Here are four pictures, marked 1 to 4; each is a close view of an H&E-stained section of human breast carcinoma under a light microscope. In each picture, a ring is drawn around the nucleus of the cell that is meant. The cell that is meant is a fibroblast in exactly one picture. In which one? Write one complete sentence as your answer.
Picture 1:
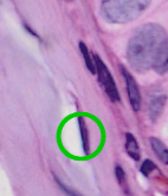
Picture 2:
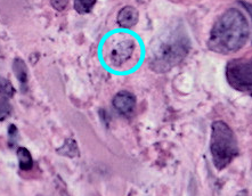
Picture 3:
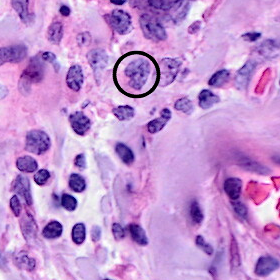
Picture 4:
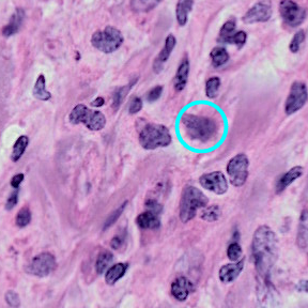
The picture with the fibroblast is 1.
